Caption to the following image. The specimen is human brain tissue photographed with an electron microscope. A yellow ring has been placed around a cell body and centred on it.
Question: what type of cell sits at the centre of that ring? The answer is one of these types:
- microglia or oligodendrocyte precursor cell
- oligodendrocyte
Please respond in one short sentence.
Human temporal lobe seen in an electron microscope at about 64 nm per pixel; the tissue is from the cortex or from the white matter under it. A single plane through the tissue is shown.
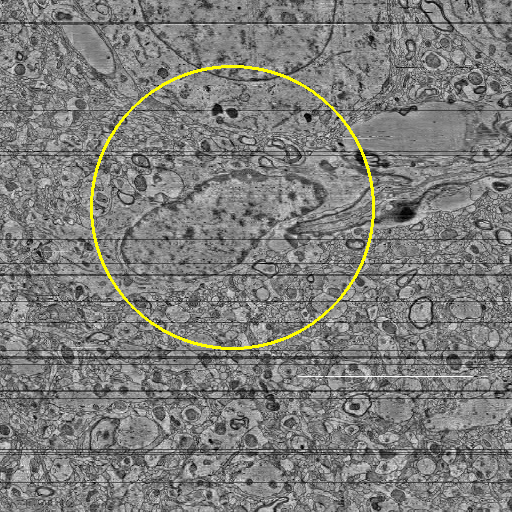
The ring surrounds the cell body of a microglial cell or oligodendrocyte precursor cell.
